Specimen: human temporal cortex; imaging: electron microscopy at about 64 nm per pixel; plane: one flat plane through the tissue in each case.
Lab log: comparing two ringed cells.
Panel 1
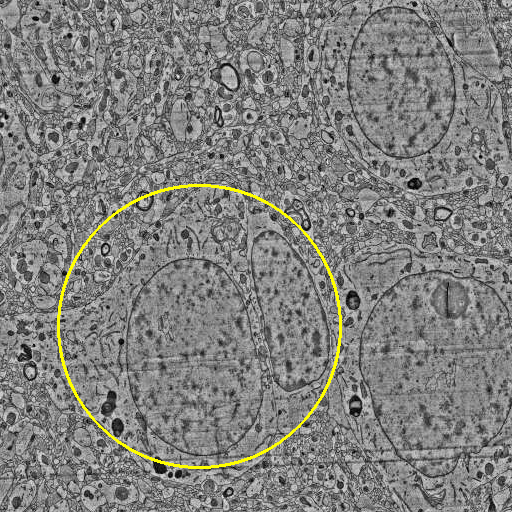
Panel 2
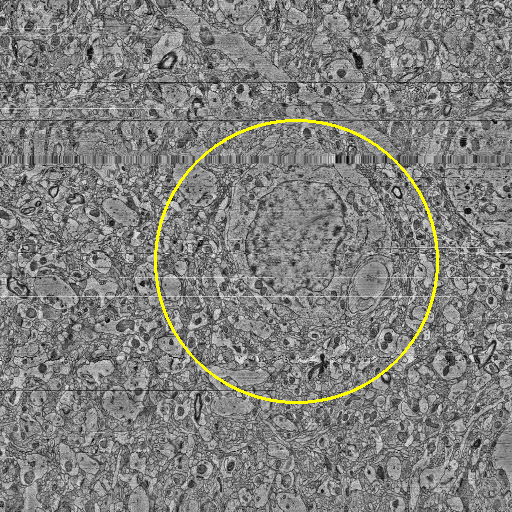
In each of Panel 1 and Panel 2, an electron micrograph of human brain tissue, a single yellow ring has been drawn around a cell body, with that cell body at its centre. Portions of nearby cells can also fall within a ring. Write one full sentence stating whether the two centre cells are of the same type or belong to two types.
The cells at the ring centres in Panel 1 and Panel 2 belong to two types.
